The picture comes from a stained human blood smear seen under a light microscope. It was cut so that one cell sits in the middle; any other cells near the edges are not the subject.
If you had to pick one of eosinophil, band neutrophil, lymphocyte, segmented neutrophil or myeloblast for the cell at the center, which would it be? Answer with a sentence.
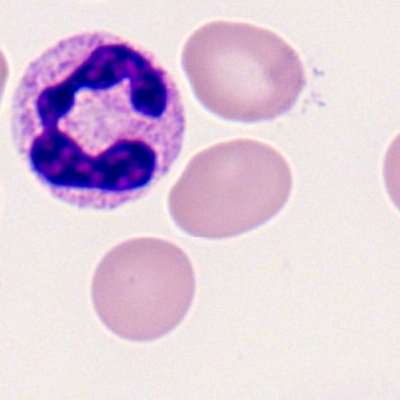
In this smear crop, the middle cell is a segmented neutrophil.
